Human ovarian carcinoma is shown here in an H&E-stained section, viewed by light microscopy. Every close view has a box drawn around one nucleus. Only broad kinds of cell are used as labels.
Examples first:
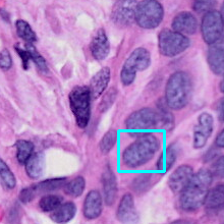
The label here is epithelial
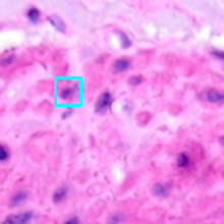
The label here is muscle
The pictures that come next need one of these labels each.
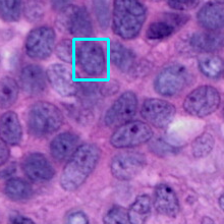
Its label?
epithelial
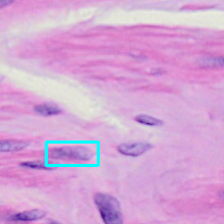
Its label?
muscle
